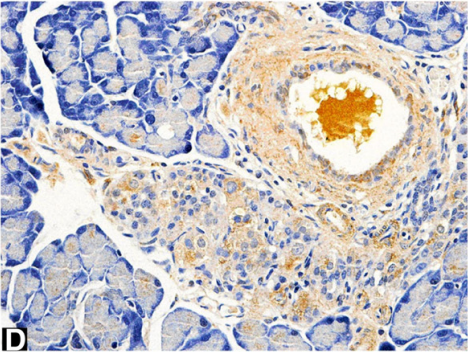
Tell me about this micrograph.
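Pancreas with an islet, interlobular connective tissue and a thick-walled vessel or duct among exocrine acini. The islet cells at the lower middle are small with round nuclei and show patchy brown cytoplasmic staining. Upper right, a round lumen filled with dense orange-brown material is ringed by a concentric wall of spindle-shaped cells with elongated nuclei, lightly brown. Acinar lobules have dark blue basal cytoplasm and paler granular apices, mostly unstained. Loose septa with clear spaces run between lobules.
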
